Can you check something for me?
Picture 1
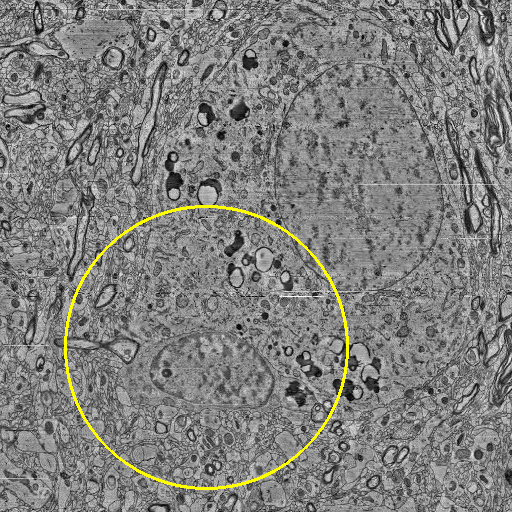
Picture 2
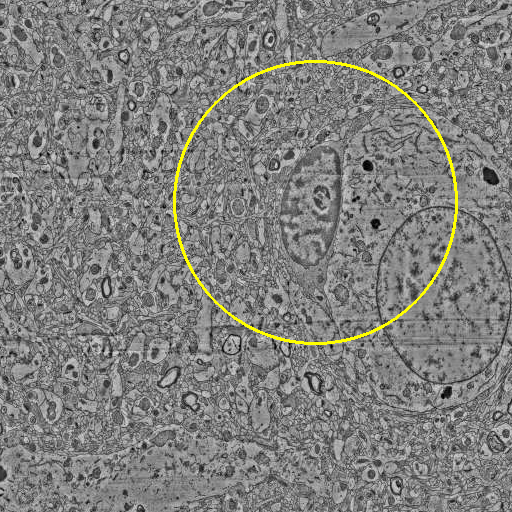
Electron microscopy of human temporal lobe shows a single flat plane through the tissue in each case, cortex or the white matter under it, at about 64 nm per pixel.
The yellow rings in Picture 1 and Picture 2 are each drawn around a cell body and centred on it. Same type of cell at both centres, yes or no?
yes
